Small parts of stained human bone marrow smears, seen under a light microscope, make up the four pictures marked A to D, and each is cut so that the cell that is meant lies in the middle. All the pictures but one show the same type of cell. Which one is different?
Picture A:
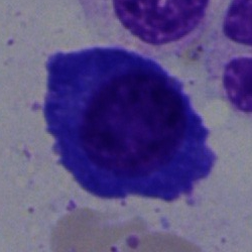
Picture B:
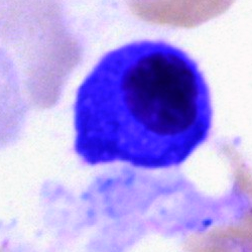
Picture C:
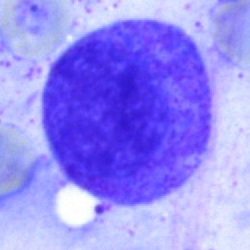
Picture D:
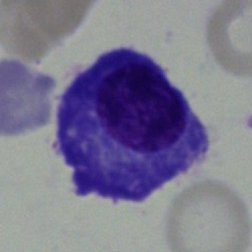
C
